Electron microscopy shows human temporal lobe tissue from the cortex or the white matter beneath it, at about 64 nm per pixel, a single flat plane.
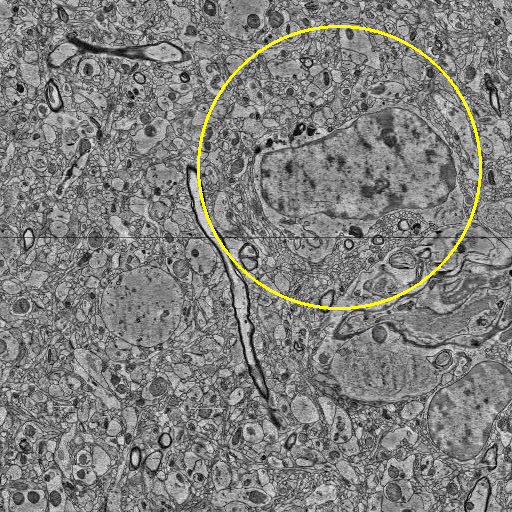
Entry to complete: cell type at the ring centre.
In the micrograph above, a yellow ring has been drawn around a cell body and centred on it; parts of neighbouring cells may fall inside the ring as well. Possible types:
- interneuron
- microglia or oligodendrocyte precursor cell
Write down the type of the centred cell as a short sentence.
The ring is centred on a microglial cell or oligodendrocyte precursor cell.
